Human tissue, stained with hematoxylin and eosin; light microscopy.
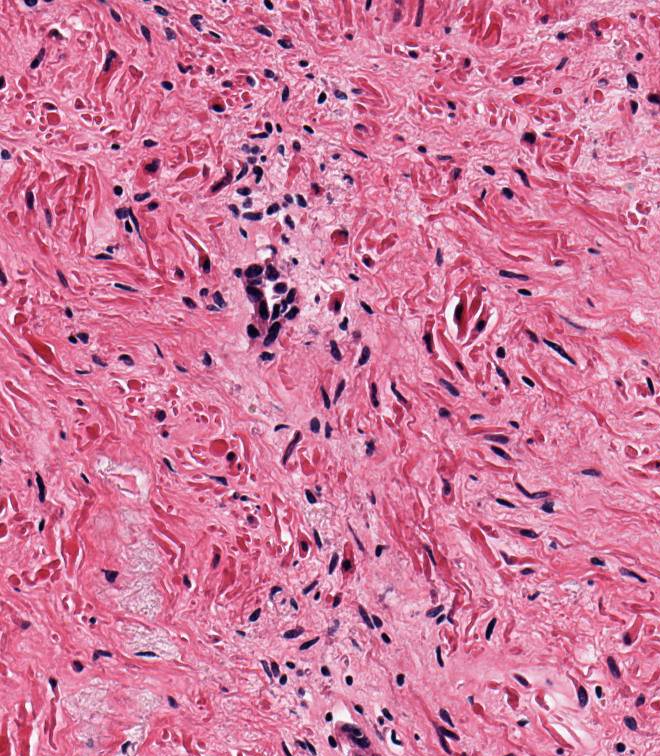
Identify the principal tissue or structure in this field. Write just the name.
fibromuscular stroma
